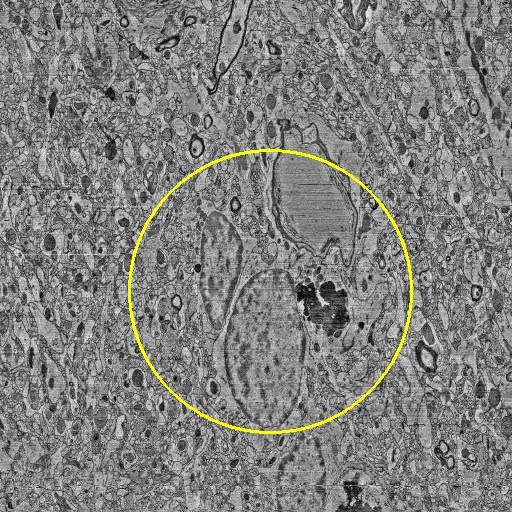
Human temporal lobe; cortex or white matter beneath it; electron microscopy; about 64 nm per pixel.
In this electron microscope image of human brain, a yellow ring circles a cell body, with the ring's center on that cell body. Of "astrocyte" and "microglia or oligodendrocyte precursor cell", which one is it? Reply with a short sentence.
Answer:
It is an astrocyte at the center of the ring.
